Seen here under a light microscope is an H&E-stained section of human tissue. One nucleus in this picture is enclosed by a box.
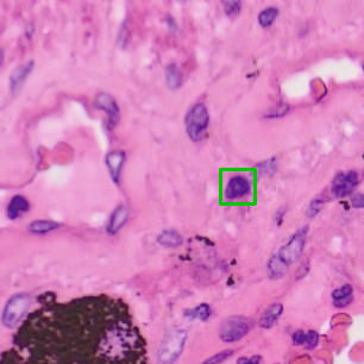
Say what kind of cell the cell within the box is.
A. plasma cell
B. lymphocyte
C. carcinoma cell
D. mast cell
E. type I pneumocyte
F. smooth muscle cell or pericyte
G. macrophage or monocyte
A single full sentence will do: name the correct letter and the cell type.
In short, option A: the cell within the box is a plasma cell.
